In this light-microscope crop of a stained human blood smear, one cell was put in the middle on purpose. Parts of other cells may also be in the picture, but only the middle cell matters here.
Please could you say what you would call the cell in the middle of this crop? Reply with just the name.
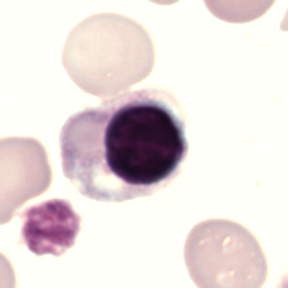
normoblast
